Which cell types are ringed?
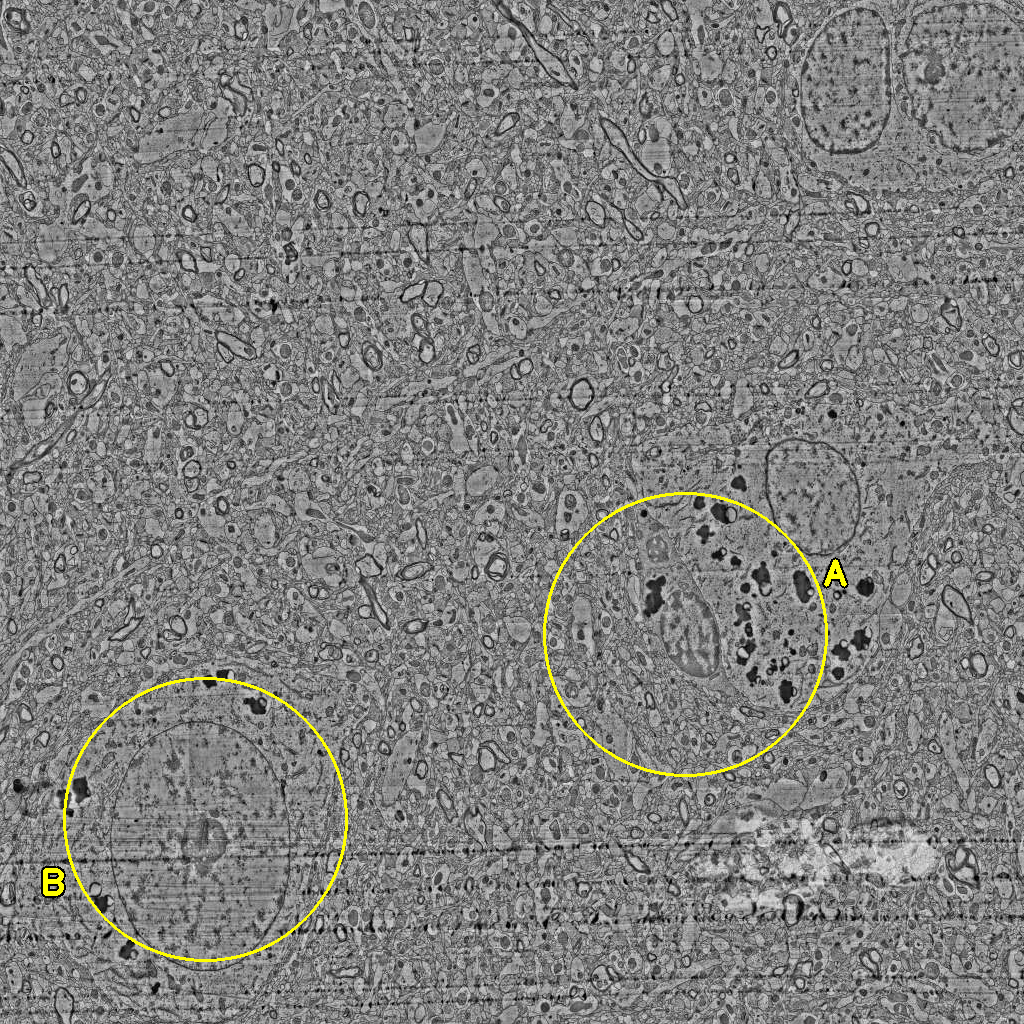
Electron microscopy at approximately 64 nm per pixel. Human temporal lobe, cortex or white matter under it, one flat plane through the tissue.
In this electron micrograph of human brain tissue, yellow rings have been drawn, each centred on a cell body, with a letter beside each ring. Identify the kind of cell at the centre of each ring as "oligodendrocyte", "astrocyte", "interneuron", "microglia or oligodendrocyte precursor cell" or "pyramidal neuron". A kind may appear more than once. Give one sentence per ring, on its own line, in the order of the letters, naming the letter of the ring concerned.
Ring A is drawn on an oligodendrocyte.
Ring B is drawn on a pyramidal neuron.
